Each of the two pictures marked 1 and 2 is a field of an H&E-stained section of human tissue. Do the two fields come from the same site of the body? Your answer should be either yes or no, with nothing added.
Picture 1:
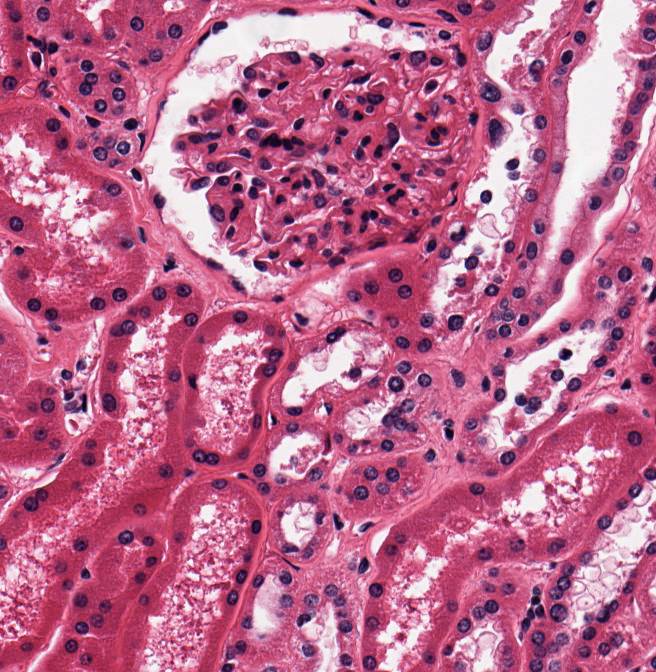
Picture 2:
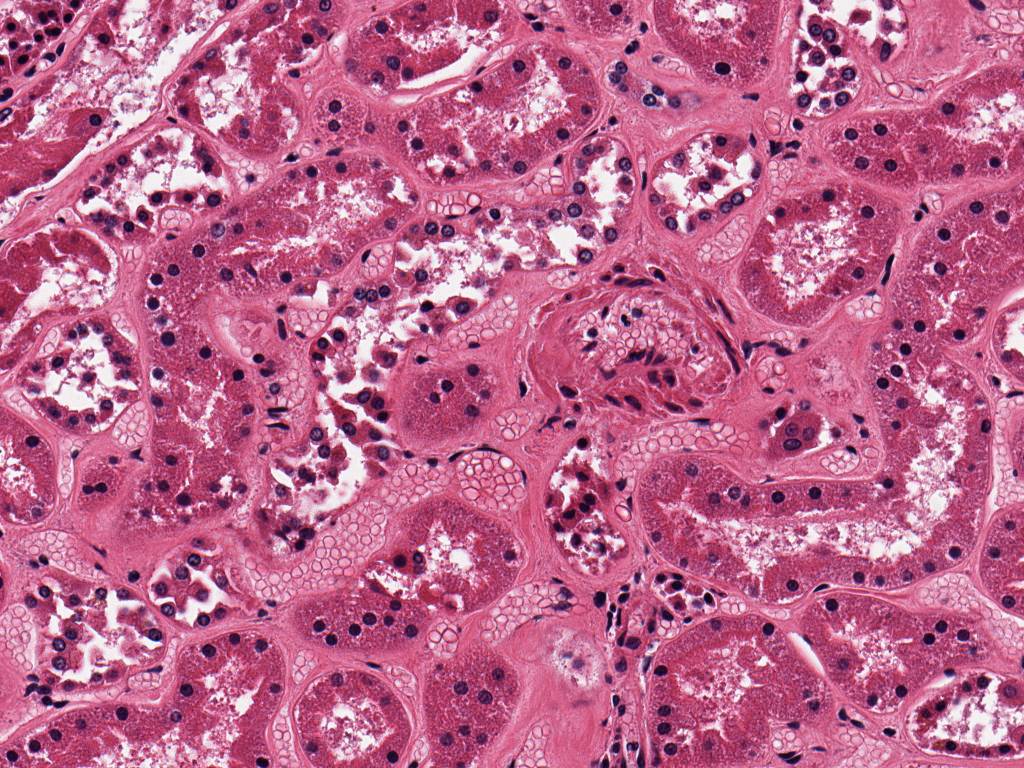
yes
